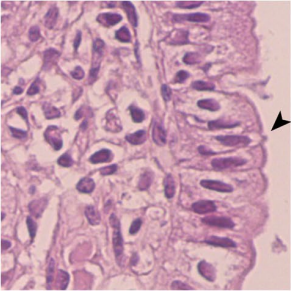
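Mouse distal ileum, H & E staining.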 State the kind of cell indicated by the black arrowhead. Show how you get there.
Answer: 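Solitary cells with candle-like “tufted morphology”. The arrowhead points at the apical surface of a single cell within the columnar epithelium.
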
